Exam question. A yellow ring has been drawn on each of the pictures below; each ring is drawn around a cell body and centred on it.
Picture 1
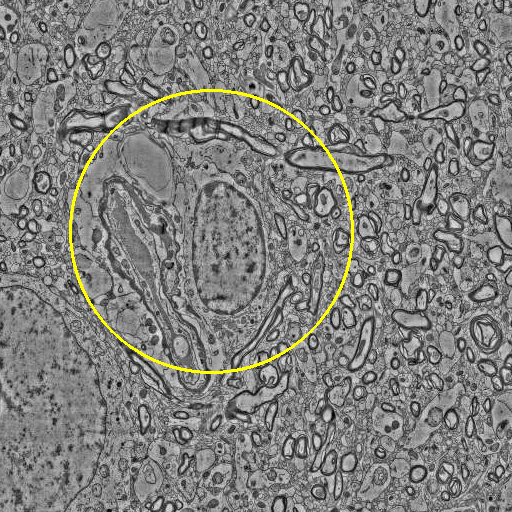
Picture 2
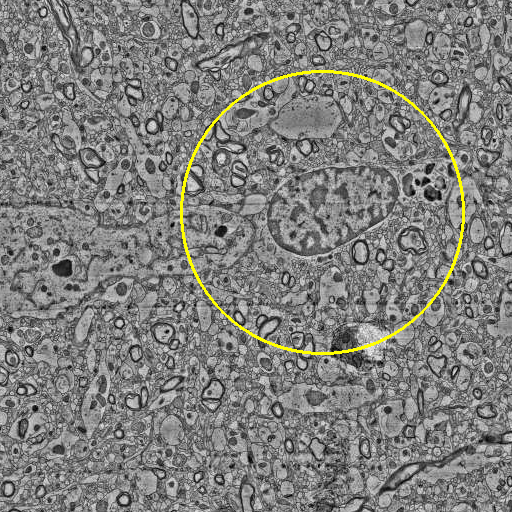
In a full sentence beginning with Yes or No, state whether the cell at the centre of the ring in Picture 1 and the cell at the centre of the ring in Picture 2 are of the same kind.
Yes, the two cells are of the same kind.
